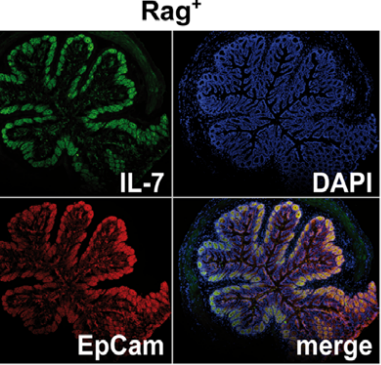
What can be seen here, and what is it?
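Cross-section of colon showing mucosa folded into several lobes around a narrow branching central lumen. The red channel outlines the epithelium of the crypts and surface throughout the section. The green channel lies in the epithelial cells of the crypts, most strongly toward the outer parts of the folds. Blue nuclei fill the whole section, densest in the epithelial layer and sparse in the thin outer wall.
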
